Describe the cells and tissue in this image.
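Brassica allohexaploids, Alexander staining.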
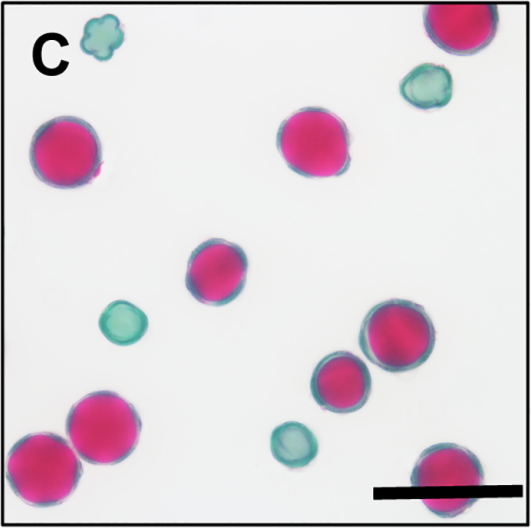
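Scattered round grains are of two kinds: larger ones with a thick blue-green wall and a full magenta-red interior, and smaller, shrunken, sometimes lobed ones that are only green-blue with an empty-looking interior. These are pollen grains, the red-filled ones with cytoplasm and the small green ones collapsed and without contents.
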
